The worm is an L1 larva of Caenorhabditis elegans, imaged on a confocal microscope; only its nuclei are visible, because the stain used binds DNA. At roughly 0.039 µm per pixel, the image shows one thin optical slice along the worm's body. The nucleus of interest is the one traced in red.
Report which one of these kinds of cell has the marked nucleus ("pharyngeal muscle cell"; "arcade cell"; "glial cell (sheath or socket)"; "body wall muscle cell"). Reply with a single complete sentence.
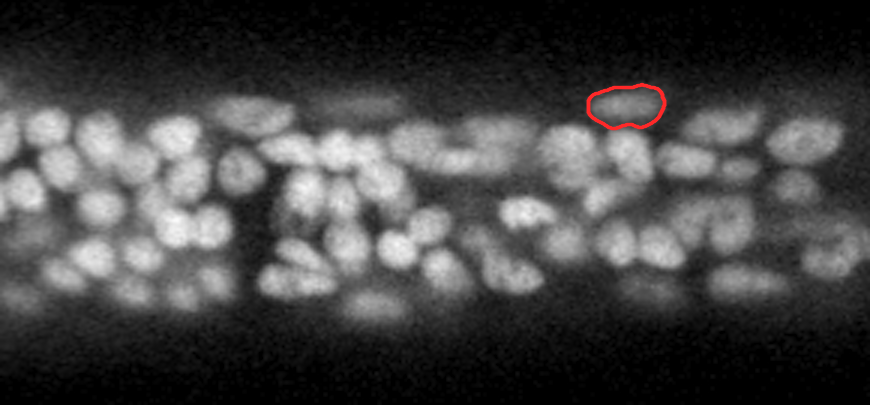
The marked nucleus belongs to a body wall muscle cell.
